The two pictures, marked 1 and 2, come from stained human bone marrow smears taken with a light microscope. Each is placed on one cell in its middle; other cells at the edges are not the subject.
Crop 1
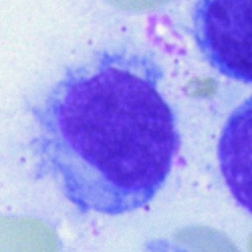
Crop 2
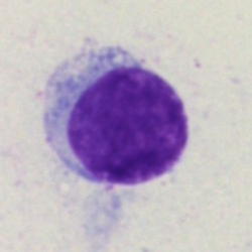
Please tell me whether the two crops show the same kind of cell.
yes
